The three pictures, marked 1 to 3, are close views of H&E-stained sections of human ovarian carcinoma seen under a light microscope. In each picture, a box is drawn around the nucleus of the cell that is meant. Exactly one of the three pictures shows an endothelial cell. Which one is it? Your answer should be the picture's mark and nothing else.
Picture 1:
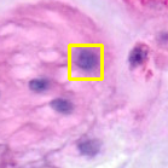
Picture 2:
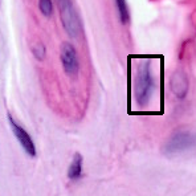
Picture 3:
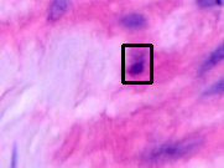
2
